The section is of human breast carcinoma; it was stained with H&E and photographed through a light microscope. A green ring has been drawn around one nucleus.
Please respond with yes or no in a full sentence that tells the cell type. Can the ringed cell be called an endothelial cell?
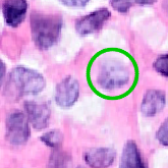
No, as classified here, the ringed cell is a carcinoma cell and not an endothelial cell.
